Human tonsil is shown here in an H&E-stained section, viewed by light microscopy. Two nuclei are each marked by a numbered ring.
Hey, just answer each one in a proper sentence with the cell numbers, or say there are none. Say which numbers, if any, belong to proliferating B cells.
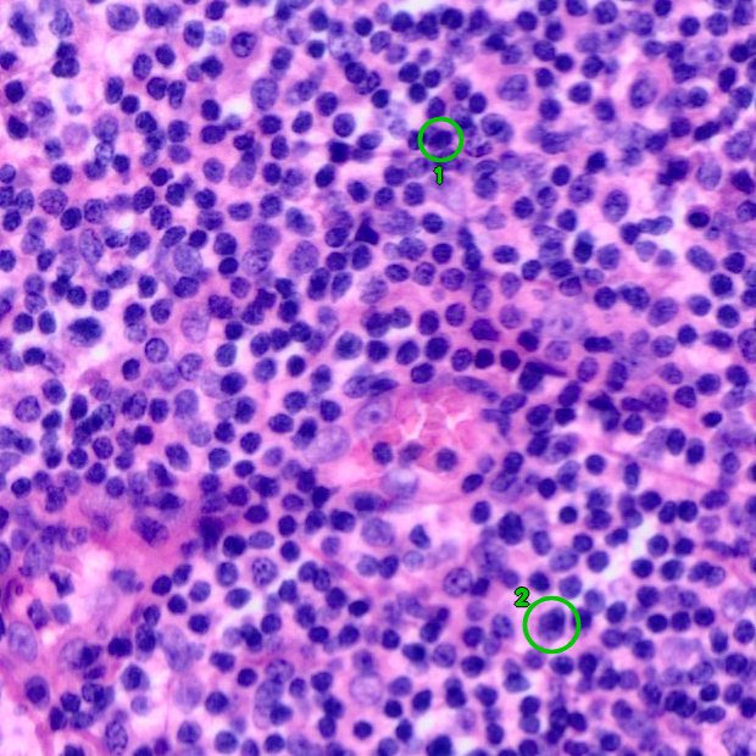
Just the cell marked 2 is a proliferating B cell; none of the other marked cells is.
